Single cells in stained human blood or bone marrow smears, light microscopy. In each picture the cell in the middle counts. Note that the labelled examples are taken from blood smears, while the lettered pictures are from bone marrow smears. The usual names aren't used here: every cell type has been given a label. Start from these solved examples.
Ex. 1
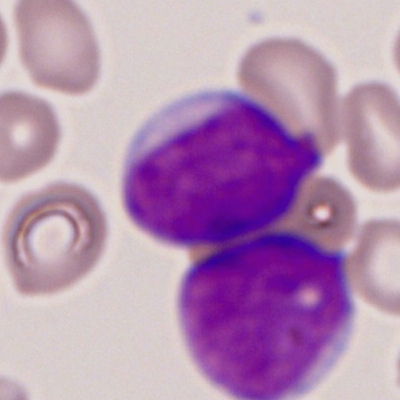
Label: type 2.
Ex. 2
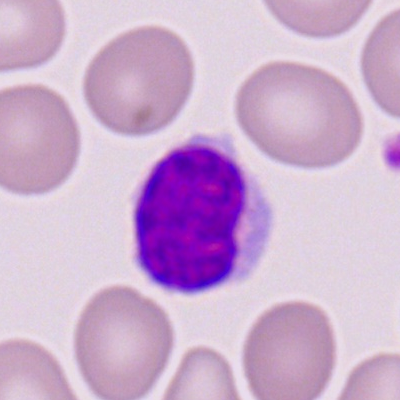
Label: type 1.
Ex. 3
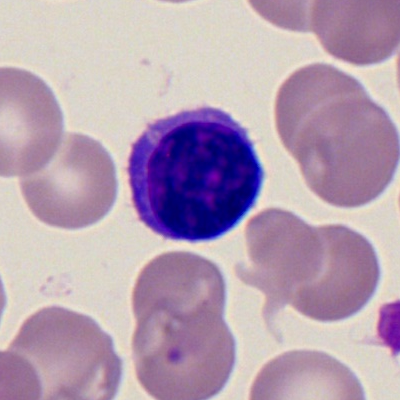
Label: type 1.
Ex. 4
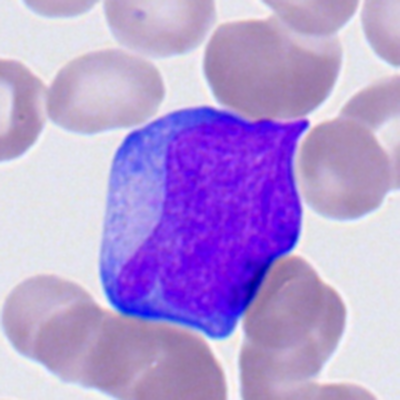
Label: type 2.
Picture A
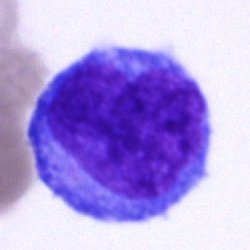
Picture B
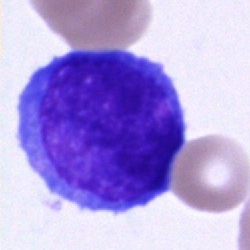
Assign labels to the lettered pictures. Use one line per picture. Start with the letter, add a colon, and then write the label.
A: type 2.
B: type 2.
